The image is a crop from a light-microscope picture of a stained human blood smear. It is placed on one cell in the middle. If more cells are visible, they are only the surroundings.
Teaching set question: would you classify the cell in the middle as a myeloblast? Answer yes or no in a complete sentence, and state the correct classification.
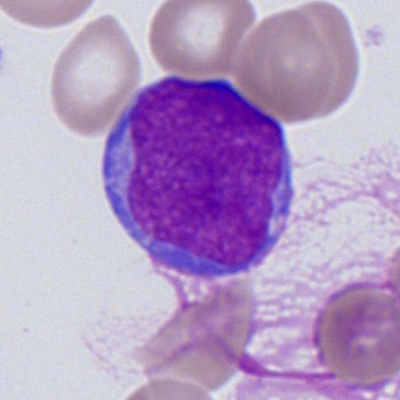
Yes, the cell found at the centre of the crop is a myeloblast.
